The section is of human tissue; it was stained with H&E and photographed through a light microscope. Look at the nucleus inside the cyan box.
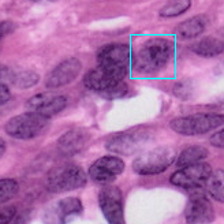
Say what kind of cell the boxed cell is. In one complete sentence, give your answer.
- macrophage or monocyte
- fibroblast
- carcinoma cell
As far as its identity is concerned, the boxed cell is a carcinoma cell.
